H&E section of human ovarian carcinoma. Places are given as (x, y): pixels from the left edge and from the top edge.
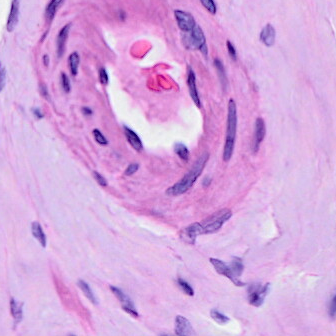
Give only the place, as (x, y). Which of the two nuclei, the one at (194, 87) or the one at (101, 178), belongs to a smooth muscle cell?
(101, 178)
